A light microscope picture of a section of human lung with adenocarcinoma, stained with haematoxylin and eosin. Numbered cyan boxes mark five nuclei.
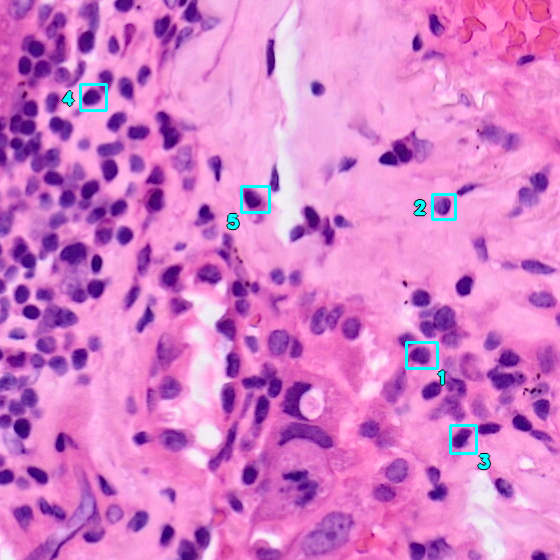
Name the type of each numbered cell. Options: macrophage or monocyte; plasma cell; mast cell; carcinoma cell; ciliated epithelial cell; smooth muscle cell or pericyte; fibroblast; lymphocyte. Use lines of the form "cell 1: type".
cell 1: lymphocyte
cell 2: mast cell
cell 3: lymphocyte
cell 4: lymphocyte
cell 5: plasma cell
